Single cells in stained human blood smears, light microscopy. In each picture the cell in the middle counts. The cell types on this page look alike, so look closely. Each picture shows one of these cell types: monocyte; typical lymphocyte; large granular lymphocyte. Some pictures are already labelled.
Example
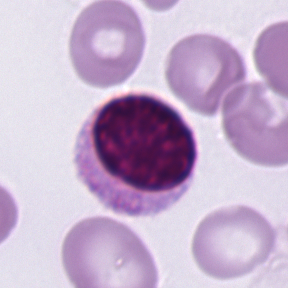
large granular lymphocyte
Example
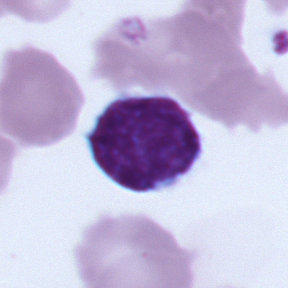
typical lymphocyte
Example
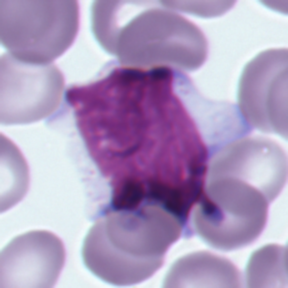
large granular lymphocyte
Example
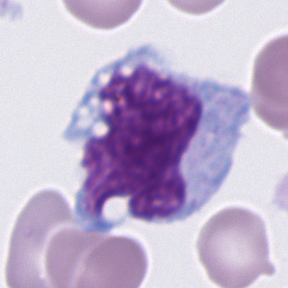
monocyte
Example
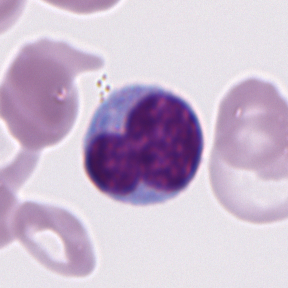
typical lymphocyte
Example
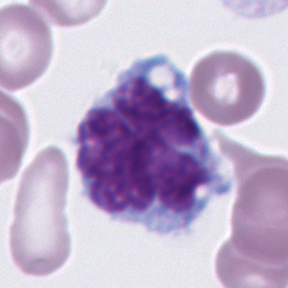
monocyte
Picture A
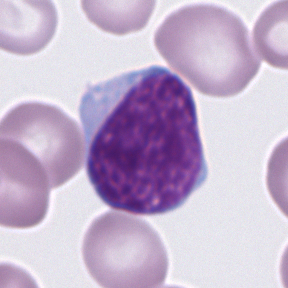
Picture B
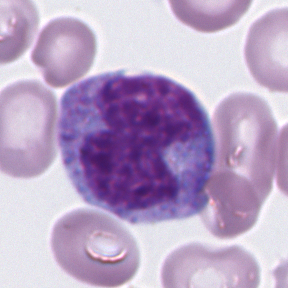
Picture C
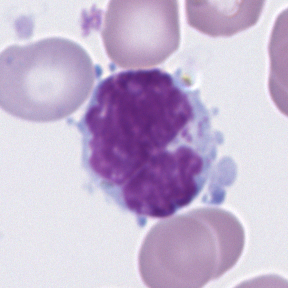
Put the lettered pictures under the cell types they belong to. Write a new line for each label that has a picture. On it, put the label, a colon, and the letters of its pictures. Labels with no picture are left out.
monocyte: B
typical lymphocyte: A
large granular lymphocyte: C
